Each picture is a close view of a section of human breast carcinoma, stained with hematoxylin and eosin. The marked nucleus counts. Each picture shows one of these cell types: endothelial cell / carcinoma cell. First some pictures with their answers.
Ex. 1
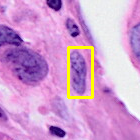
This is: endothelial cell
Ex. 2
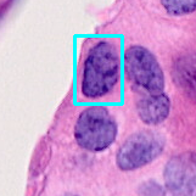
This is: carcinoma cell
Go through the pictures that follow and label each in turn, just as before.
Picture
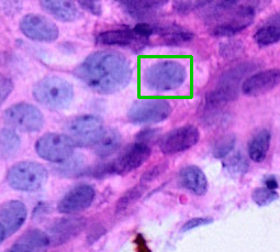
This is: carcinoma cell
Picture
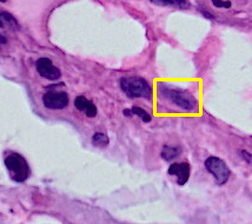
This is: endothelial cell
